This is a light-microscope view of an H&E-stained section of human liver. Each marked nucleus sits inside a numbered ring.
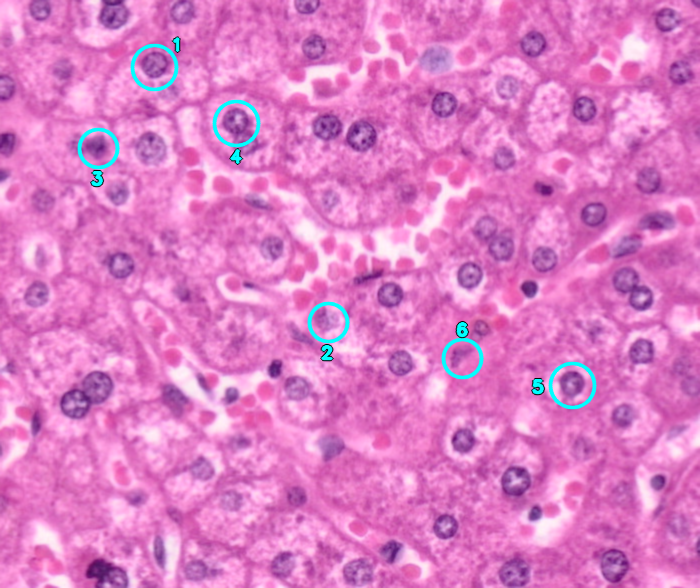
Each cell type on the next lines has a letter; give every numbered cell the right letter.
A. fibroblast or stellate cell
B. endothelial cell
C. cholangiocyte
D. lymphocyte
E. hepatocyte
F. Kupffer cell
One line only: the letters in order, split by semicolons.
E; E; B; E; E; B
